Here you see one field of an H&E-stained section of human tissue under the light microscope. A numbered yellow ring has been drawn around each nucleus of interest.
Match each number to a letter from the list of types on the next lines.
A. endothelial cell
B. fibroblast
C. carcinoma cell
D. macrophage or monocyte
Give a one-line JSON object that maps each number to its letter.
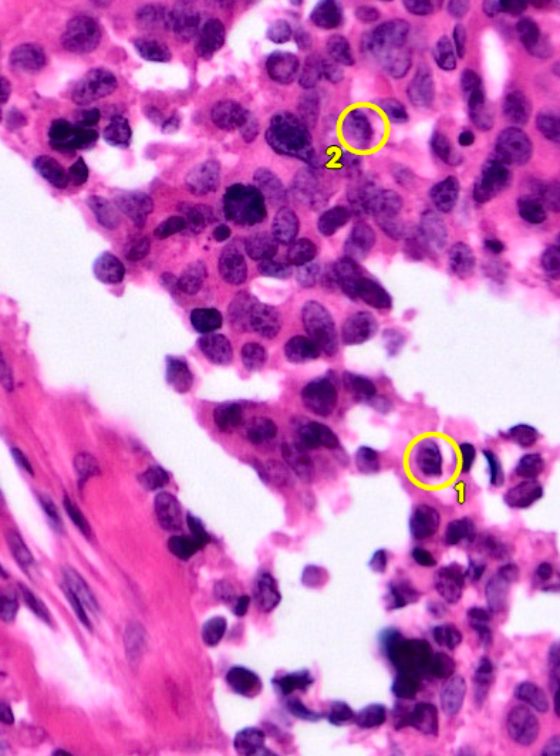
{"1": "D", "2": "C"}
